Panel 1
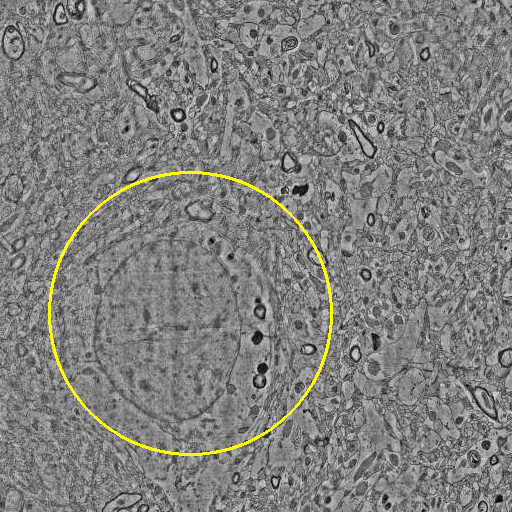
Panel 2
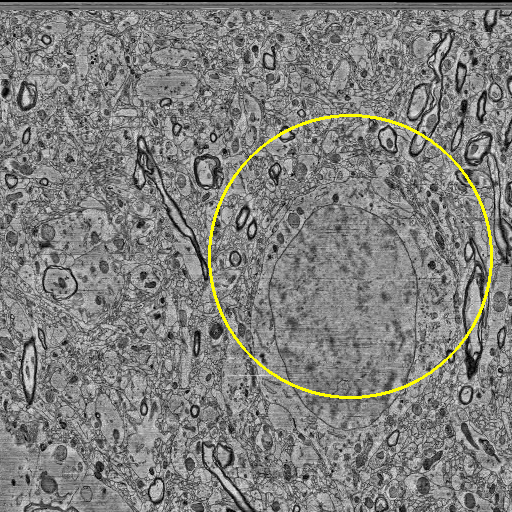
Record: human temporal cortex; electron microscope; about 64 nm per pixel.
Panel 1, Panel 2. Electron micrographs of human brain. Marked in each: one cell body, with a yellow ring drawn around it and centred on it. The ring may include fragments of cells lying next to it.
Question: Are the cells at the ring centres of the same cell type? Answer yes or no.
yes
